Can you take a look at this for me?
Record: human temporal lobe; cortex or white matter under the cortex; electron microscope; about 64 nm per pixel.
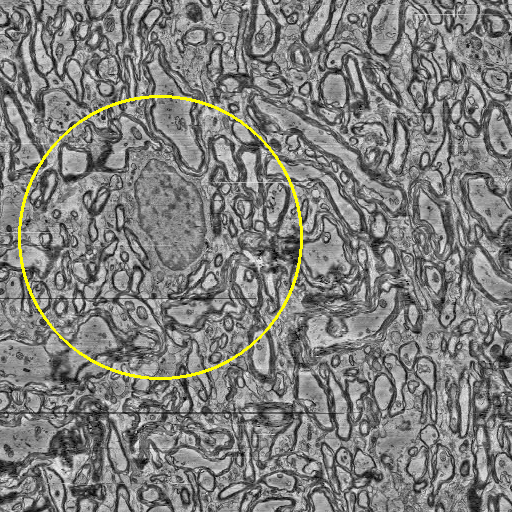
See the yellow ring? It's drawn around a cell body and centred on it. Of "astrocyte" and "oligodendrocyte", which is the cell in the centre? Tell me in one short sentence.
The one in the centre is an oligodendrocyte.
